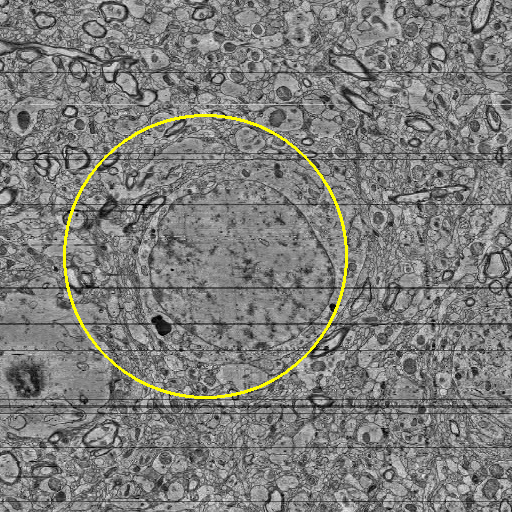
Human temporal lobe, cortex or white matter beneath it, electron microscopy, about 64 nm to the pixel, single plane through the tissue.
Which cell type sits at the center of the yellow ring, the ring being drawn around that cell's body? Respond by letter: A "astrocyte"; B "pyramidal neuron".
B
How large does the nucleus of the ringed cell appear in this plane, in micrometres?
In this plane, approximately 12 micrometres across.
